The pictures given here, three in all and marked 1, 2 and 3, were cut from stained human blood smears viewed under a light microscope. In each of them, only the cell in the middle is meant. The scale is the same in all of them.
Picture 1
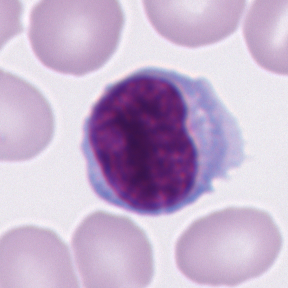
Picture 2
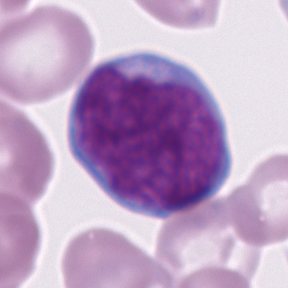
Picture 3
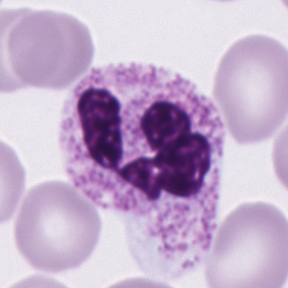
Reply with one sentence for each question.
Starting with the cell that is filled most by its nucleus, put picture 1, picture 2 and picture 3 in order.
They run 2, 1, 3, the most filled first.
